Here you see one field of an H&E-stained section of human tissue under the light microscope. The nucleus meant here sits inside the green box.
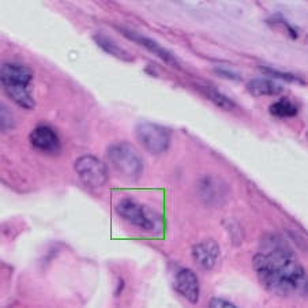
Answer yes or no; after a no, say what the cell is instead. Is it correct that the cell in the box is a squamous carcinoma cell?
Yes.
